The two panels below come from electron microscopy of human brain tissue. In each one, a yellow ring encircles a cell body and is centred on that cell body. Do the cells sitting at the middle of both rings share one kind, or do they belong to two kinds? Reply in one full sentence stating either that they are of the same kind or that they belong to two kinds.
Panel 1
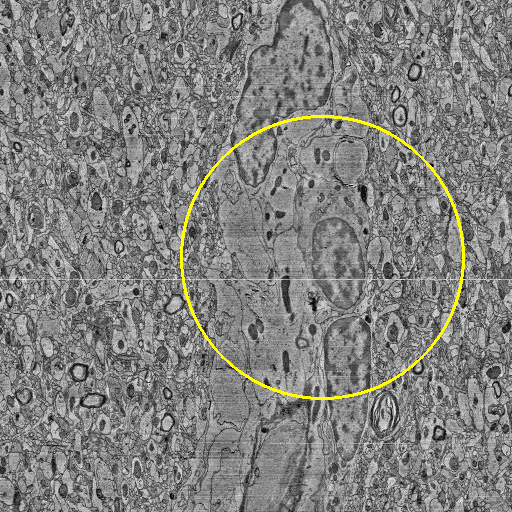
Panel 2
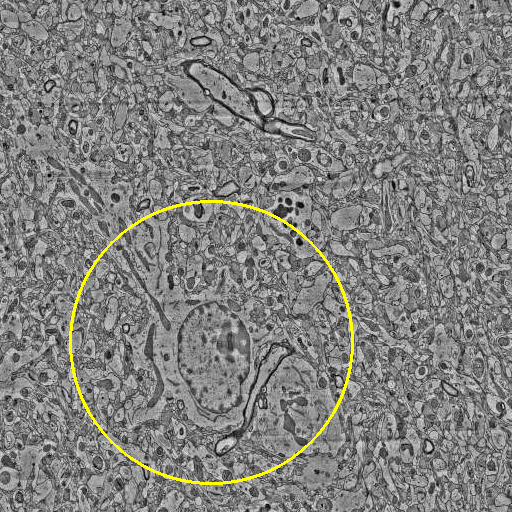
The cells at the centres of the two rings belong to two kinds.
